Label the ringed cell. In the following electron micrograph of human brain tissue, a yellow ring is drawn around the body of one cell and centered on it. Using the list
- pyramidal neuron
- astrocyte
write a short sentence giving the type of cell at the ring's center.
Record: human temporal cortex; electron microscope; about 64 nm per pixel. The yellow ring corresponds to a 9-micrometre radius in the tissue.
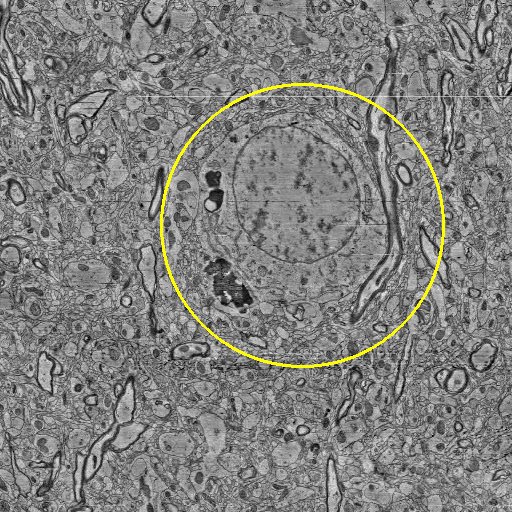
The cell body at the ring's center is that of a pyramidal neuron.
